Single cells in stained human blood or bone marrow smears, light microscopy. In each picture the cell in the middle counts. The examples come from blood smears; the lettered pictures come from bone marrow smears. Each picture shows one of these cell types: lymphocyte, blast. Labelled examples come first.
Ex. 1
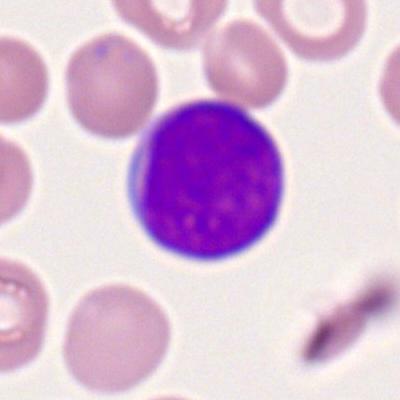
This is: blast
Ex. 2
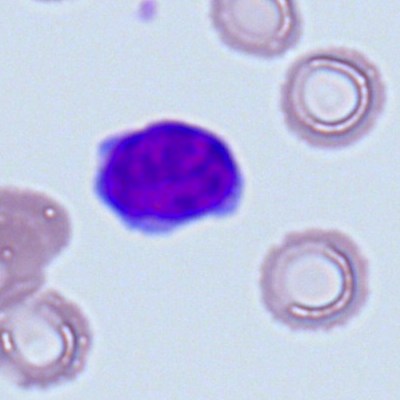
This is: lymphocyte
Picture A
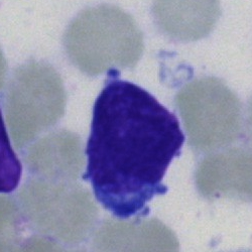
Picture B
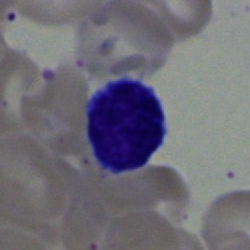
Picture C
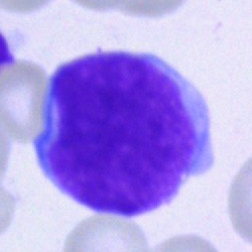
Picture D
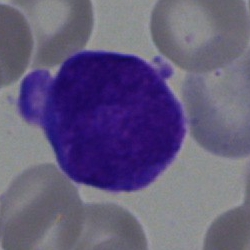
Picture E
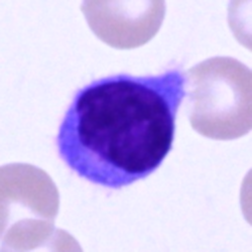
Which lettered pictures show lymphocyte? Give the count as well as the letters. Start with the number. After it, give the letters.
2: B, E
